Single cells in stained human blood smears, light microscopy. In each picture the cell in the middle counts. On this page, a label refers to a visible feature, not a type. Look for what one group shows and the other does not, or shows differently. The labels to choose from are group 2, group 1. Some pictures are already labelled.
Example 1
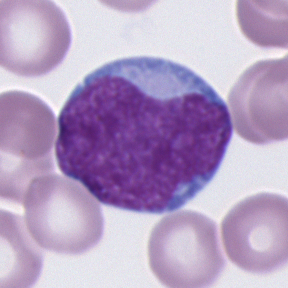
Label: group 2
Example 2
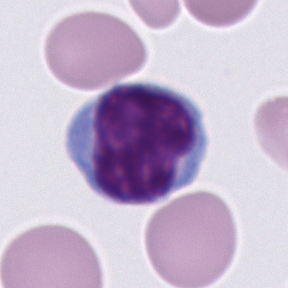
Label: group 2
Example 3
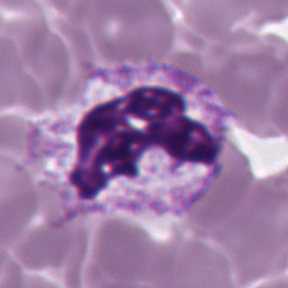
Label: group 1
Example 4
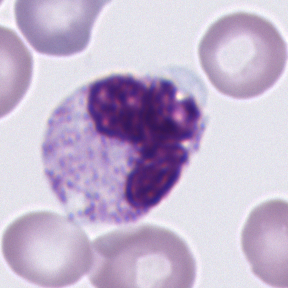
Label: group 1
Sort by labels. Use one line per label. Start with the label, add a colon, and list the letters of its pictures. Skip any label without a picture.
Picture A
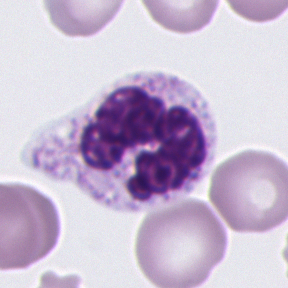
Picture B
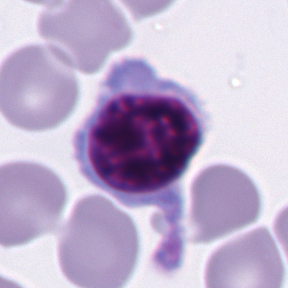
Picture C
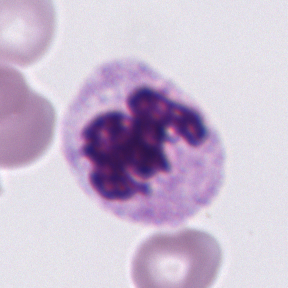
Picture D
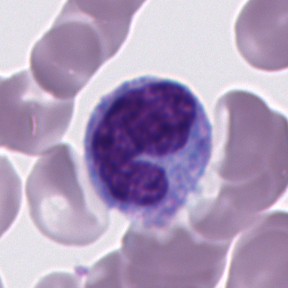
group 2: C, D
group 1: A, B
